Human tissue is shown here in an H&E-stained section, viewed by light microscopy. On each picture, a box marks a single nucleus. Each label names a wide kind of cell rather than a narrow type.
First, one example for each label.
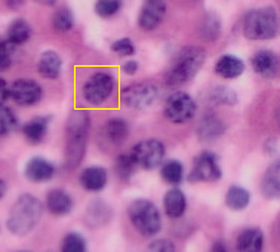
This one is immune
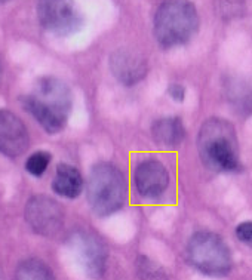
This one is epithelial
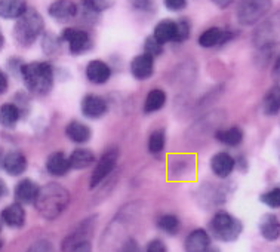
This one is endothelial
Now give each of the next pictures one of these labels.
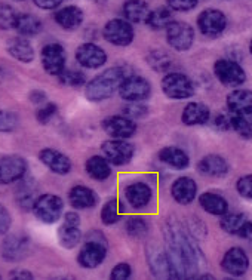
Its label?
immune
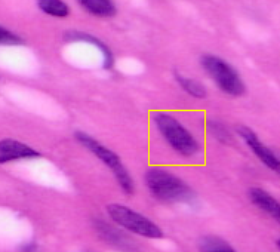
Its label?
epithelial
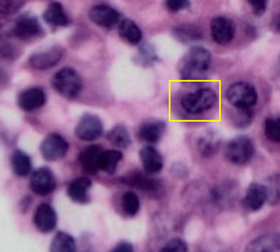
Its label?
immune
